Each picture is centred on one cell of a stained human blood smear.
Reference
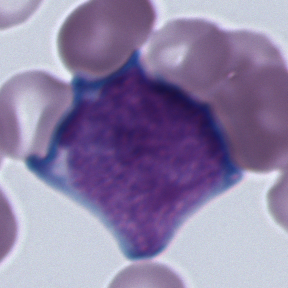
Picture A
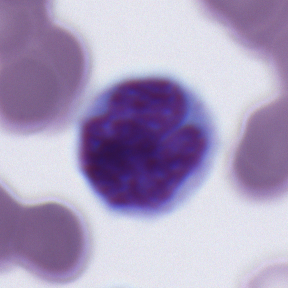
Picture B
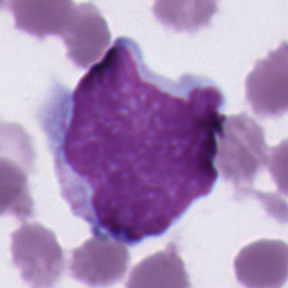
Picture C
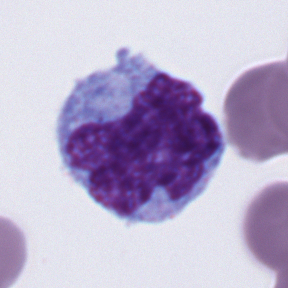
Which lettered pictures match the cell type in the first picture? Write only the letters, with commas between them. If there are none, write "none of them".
B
